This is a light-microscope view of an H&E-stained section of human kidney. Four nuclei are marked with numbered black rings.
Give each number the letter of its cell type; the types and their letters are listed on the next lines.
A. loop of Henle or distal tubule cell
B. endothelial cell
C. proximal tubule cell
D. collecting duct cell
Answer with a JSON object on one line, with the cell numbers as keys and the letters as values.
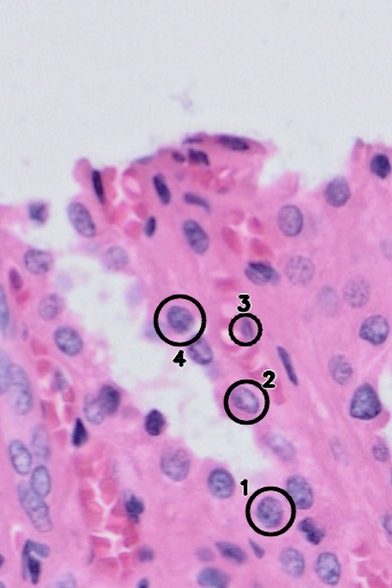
{"1": "A", "2": "A", "3": "B", "4": "A"}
